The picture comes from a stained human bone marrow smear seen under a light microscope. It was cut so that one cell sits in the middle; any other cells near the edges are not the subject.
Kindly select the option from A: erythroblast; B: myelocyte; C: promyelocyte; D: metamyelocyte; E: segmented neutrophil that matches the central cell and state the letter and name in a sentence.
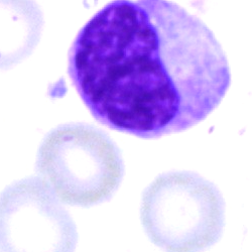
Since the middle cell is a metamyelocyte, option D is the right one.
